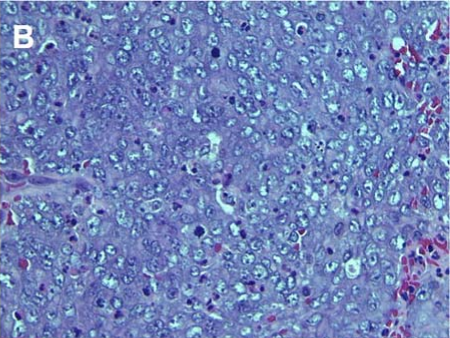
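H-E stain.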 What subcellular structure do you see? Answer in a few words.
conspicuous nucleoli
